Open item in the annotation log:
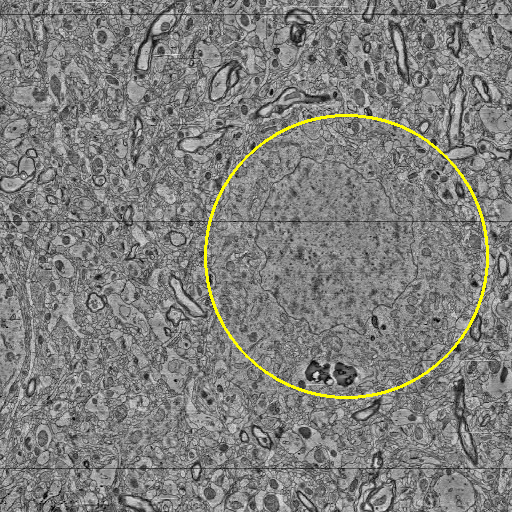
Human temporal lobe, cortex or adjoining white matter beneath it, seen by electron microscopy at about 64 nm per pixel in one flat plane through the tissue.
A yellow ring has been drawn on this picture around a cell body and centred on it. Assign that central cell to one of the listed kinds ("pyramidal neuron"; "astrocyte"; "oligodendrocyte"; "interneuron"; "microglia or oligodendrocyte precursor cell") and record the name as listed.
pyramidal neuron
